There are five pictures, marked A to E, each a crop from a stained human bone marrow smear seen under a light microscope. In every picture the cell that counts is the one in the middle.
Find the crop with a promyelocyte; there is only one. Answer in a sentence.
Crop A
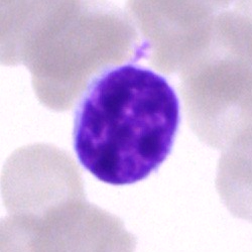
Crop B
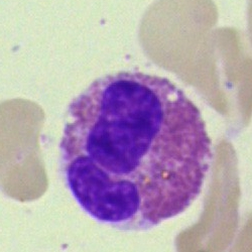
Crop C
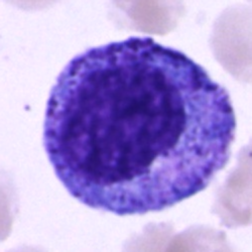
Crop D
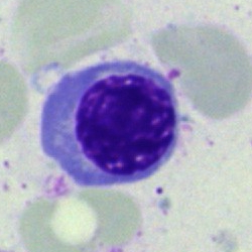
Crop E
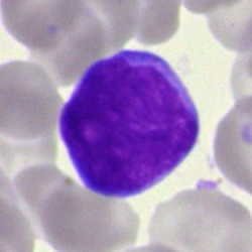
Among these crops, crop C holds a promyelocyte.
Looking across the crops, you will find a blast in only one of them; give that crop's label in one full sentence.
Among the crops, only crop E contains a blast.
